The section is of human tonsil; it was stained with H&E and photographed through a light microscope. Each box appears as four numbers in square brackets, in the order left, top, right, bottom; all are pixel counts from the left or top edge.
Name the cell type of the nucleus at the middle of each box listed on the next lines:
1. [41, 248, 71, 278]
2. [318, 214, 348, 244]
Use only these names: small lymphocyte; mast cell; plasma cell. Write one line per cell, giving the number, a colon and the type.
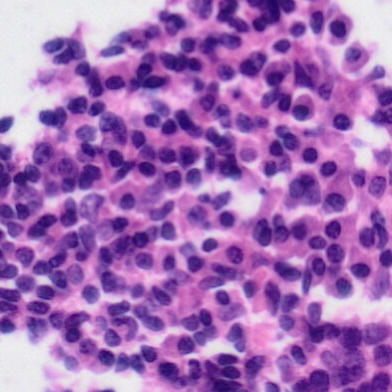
1: small lymphocyte
2: plasma cell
